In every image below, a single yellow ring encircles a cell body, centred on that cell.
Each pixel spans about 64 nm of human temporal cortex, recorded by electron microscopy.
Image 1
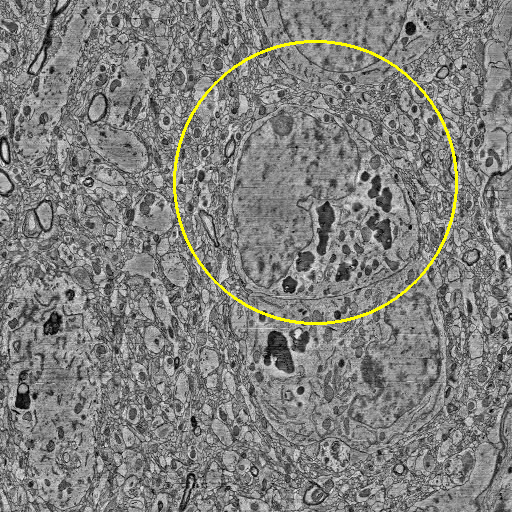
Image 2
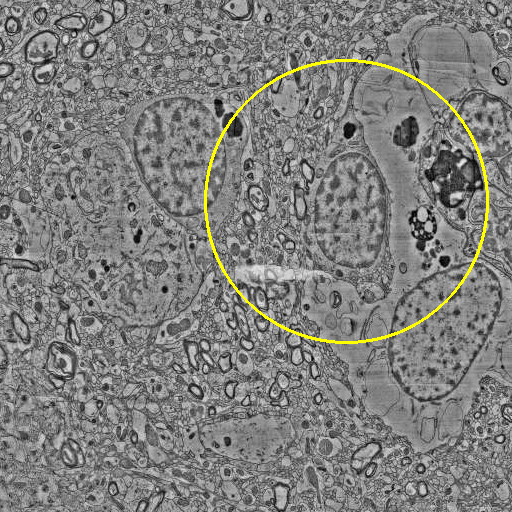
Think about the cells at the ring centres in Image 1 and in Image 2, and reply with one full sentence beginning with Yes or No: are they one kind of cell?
No, the cells centred in the rings of Image 1 and Image 2 are two kinds of cell.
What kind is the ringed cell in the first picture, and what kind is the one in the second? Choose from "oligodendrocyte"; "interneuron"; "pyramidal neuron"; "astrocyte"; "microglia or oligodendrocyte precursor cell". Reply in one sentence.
The first cell is an interneuron; the second is an oligodendrocyte.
